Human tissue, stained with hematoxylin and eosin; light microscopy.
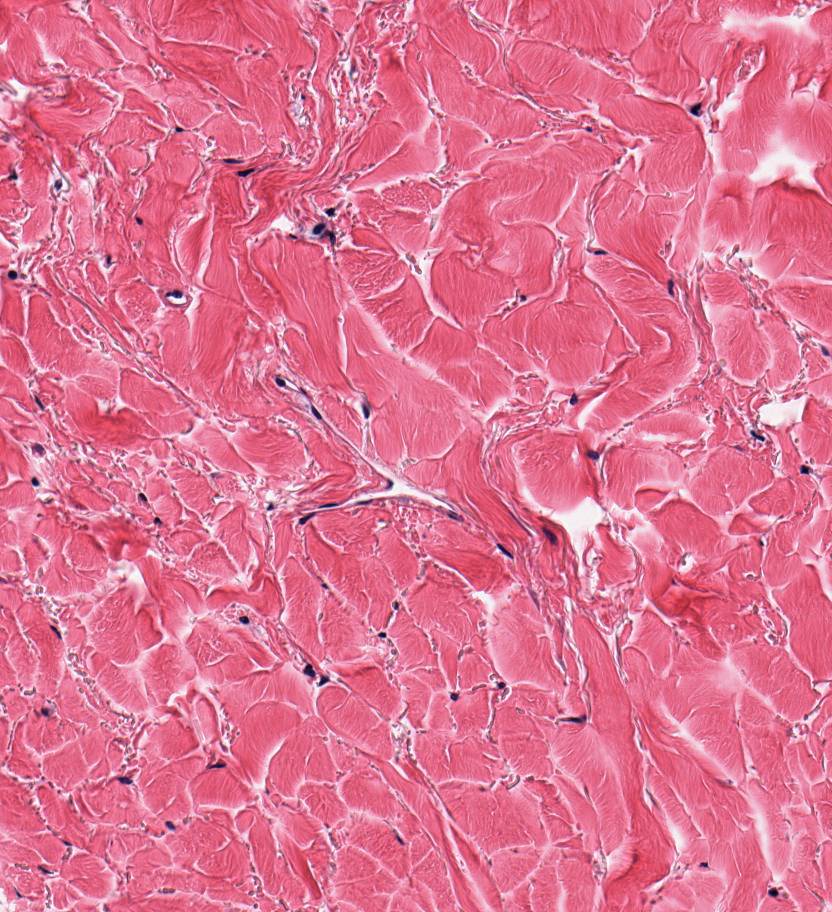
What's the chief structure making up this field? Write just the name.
dermis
